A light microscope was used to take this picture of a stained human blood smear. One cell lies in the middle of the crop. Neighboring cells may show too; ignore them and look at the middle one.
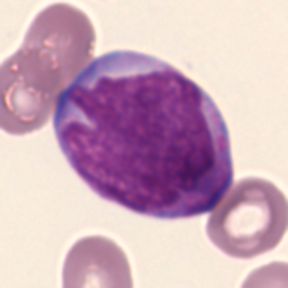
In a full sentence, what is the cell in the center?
The cell at the central position in this crop is an atypical promyelocyte.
